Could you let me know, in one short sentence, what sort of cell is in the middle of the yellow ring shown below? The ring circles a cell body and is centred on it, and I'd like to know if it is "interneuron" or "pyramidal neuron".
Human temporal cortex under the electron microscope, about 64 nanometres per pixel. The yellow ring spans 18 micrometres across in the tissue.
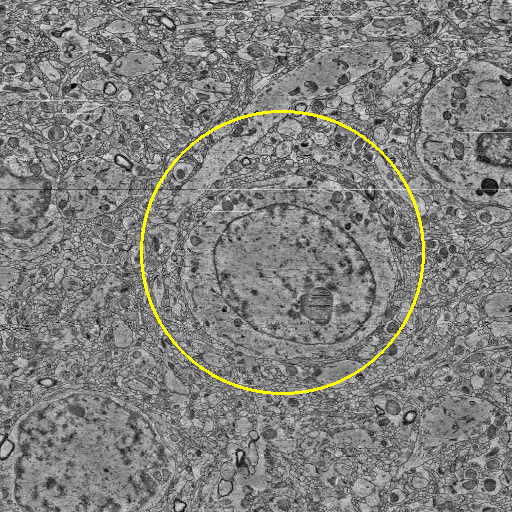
The ring circles the cell body of a pyramidal neuron.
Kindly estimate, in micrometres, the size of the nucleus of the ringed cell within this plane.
The ringed cell's nucleus measures approximately 11 by 9 micrometres in this plane.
